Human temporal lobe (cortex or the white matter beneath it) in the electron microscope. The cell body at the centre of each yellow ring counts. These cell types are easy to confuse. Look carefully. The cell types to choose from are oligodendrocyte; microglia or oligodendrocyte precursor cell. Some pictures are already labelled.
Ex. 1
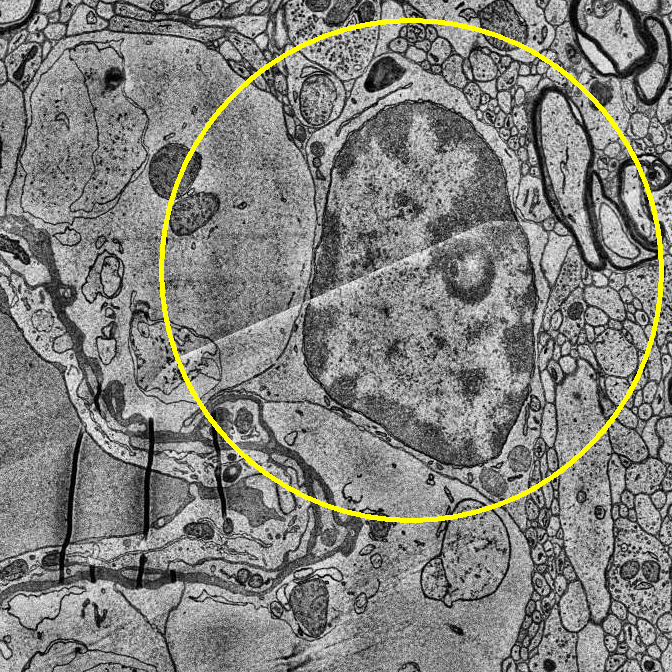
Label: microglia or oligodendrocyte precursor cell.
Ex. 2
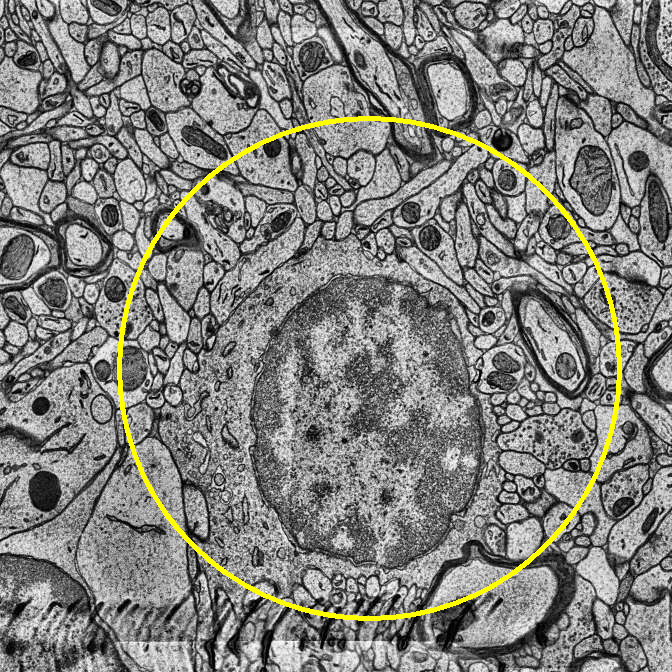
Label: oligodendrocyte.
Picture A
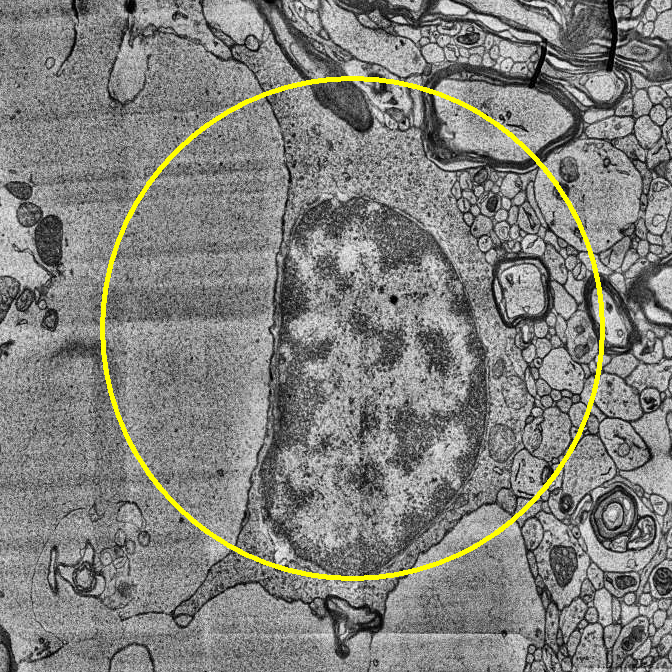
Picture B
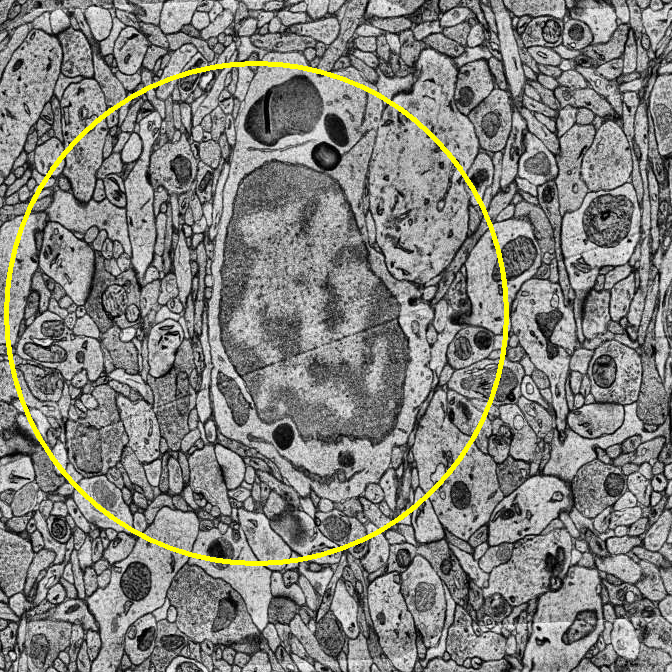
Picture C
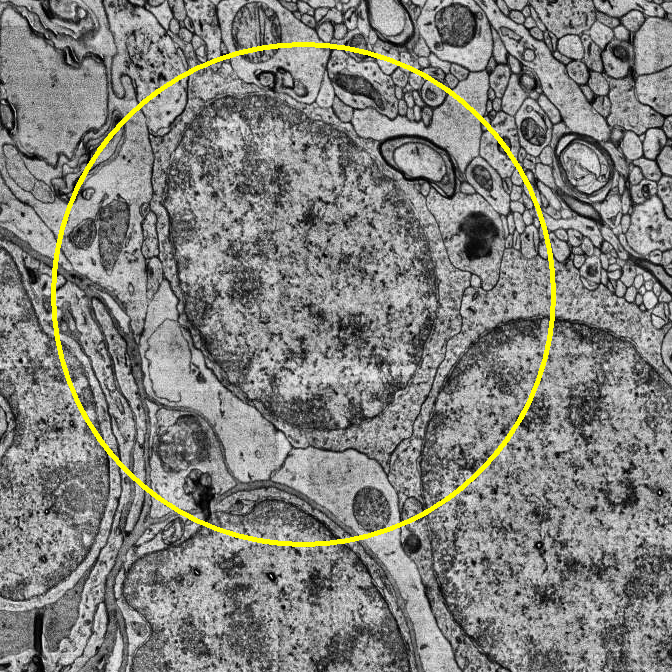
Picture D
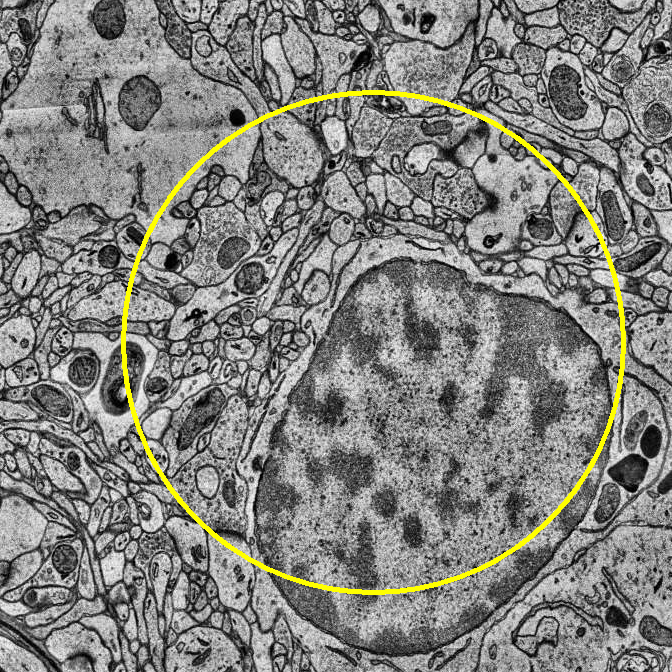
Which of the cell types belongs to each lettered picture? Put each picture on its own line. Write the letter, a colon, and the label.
A: oligodendrocyte.
B: microglia or oligodendrocyte precursor cell.
C: oligodendrocyte.
D: microglia or oligodendrocyte precursor cell.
